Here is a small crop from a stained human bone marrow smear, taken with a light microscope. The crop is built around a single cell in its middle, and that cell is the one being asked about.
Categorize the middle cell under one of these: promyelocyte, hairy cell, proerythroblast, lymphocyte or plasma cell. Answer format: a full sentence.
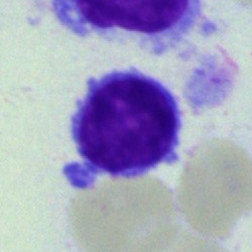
The central cell, amid any neighbouring cells, is a lymphocyte.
